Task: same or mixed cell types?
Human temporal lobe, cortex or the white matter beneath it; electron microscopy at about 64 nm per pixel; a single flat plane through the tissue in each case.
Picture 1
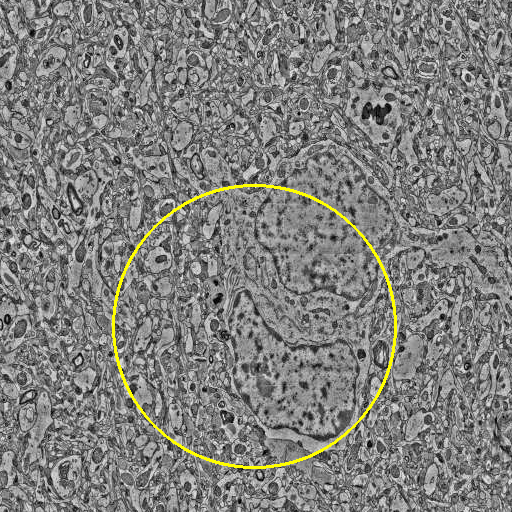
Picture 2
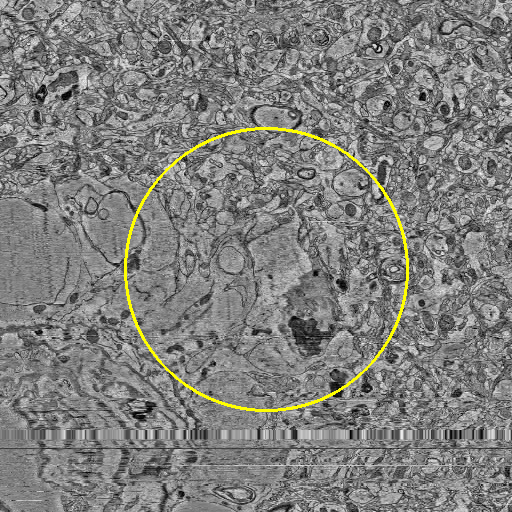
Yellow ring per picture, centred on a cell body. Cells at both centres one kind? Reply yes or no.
no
